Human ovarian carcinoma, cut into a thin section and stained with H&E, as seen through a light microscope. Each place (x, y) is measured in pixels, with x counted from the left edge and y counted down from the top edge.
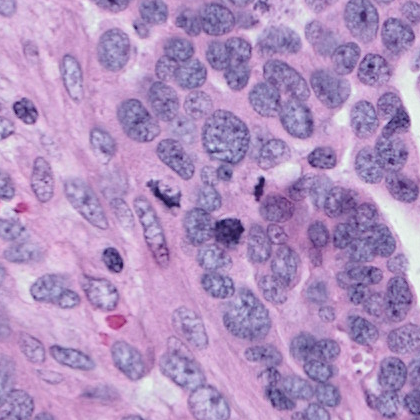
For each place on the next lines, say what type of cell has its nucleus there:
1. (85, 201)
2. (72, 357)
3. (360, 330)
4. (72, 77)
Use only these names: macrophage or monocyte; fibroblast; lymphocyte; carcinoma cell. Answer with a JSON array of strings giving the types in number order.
["fibroblast", "fibroblast", "carcinoma cell", "fibroblast"]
